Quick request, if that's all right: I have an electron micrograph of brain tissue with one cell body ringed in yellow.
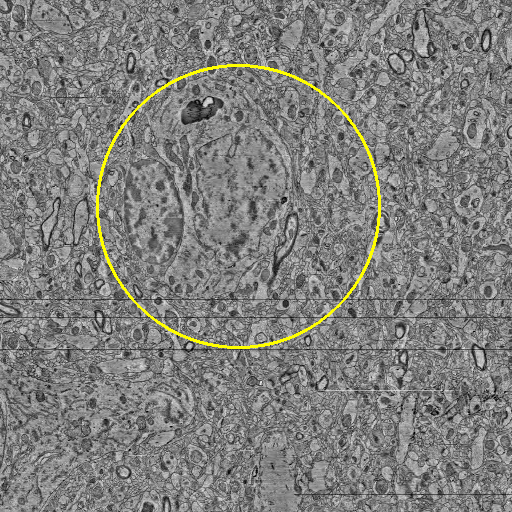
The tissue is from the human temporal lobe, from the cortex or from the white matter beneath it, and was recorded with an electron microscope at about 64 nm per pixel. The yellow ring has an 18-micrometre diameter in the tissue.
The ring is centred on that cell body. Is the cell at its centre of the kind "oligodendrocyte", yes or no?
no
